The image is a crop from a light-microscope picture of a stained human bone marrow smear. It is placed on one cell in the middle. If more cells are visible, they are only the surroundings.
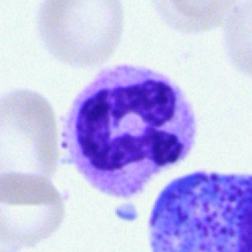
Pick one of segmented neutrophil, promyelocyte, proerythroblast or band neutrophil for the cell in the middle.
segmented neutrophil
